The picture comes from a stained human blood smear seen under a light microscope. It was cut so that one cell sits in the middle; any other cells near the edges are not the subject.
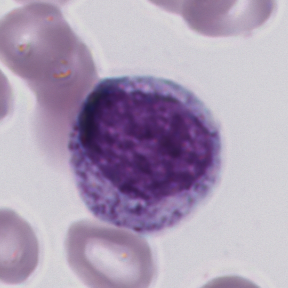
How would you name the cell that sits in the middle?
myelocyte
